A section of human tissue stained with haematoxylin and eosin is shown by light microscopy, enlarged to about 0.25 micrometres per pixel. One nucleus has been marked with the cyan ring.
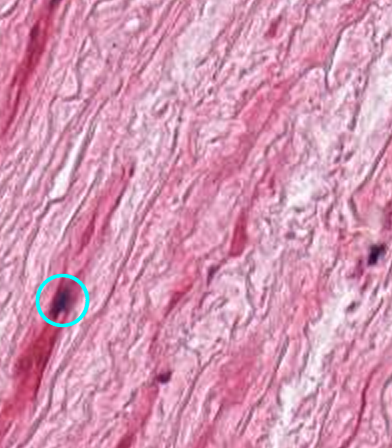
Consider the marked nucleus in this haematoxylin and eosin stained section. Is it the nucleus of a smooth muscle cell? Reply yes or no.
yes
